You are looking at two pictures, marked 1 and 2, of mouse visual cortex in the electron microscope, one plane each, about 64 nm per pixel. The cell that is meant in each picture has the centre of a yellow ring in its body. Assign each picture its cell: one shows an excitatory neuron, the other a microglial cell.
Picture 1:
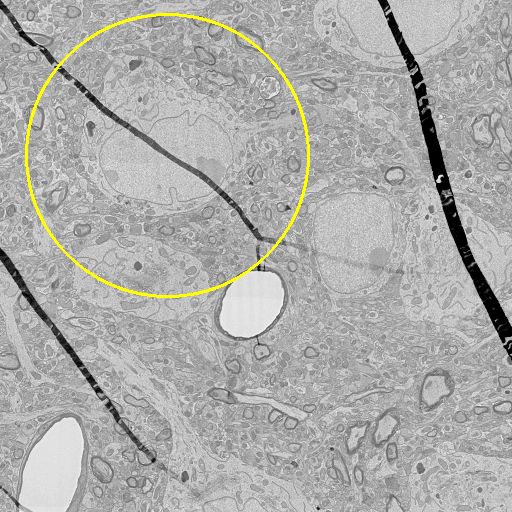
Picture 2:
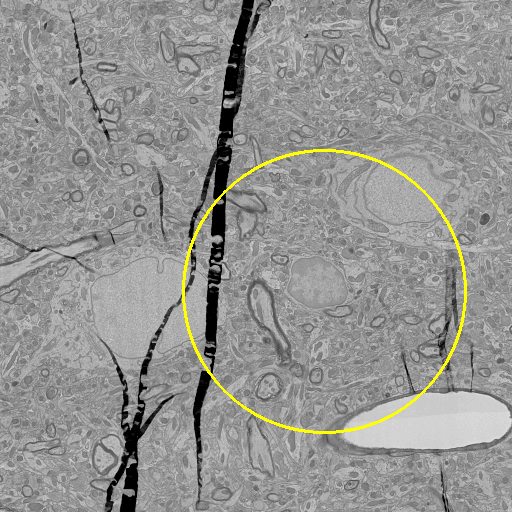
Picture 1 shows an excitatory neuron and picture 2 shows a microglial cell.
